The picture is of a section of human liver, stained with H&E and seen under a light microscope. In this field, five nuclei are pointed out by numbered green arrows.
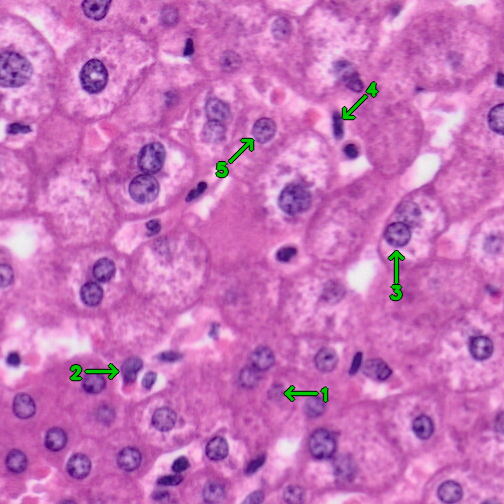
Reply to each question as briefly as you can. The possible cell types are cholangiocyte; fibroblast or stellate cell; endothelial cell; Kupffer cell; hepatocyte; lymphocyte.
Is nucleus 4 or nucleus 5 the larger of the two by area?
5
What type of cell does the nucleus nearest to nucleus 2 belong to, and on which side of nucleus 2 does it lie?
a lymphocyte; below and to the right of nucleus 2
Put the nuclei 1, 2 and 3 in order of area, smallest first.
1, 2, 3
